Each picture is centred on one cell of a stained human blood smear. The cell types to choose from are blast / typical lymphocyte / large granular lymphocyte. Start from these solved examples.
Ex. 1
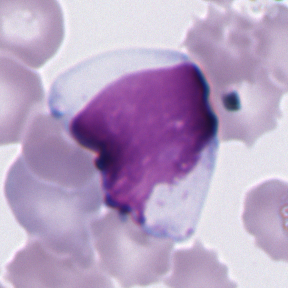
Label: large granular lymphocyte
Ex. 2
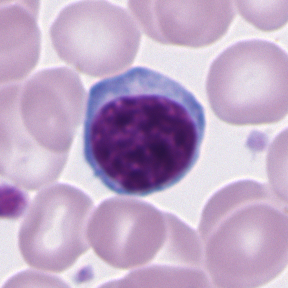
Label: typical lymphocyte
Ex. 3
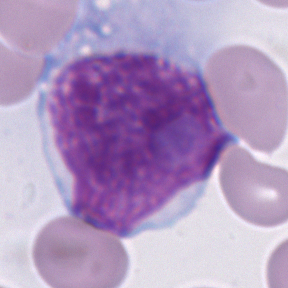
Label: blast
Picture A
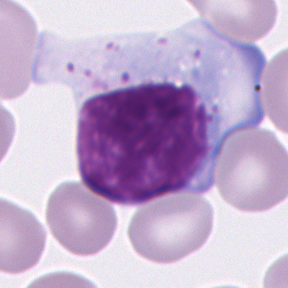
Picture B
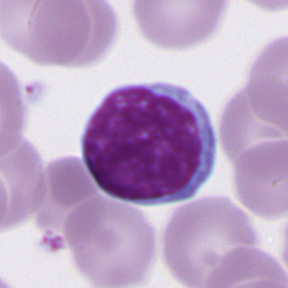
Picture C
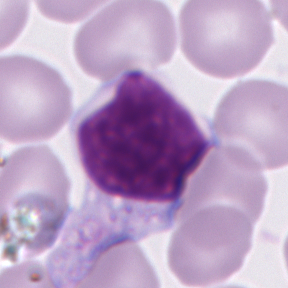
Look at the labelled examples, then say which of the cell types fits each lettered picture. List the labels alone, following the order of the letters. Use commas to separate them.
large granular lymphocyte, typical lymphocyte, large granular lymphocyte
